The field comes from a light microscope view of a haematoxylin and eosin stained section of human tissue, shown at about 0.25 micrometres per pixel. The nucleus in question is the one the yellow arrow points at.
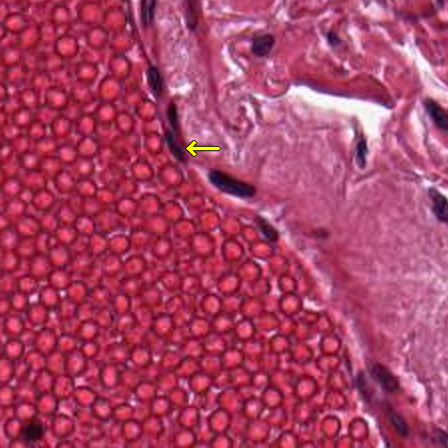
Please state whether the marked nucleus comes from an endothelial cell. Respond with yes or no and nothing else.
yes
